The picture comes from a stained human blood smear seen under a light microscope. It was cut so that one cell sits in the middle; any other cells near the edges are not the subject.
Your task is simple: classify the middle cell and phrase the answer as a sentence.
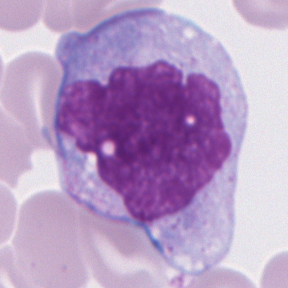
The cell in the exact centre of the crop is a monocyte.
